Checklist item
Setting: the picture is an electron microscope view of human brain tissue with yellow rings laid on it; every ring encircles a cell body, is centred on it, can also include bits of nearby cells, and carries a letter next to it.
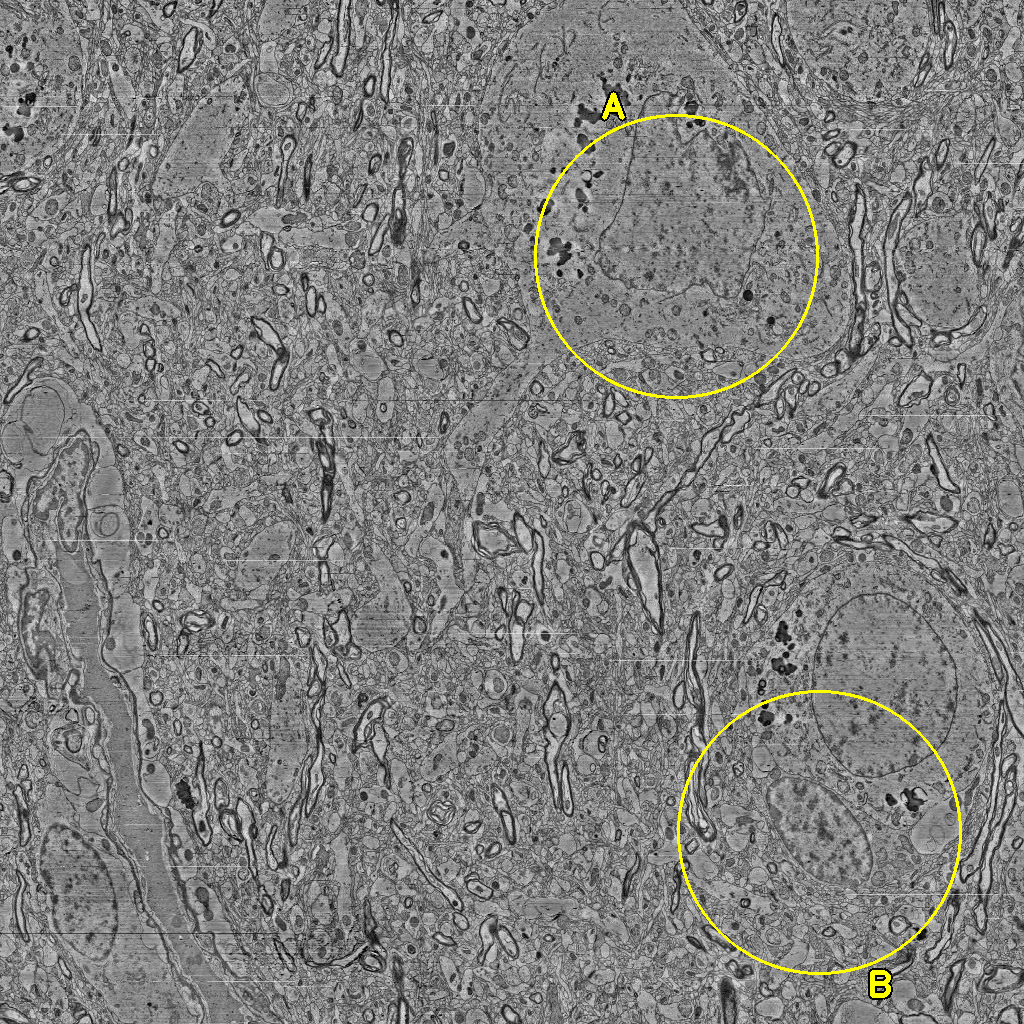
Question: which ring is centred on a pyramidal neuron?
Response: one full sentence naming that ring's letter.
My response is that ring A has the sought cell at its centre.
